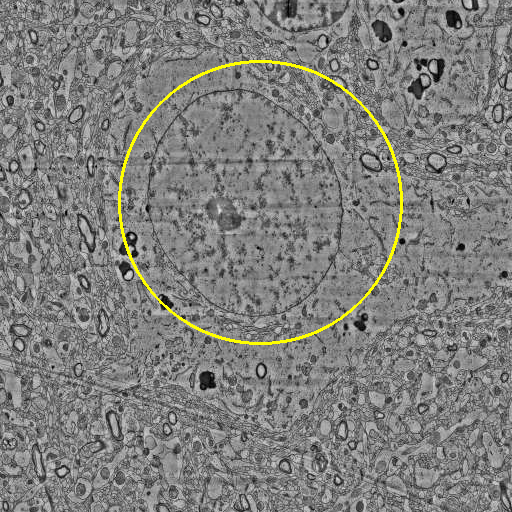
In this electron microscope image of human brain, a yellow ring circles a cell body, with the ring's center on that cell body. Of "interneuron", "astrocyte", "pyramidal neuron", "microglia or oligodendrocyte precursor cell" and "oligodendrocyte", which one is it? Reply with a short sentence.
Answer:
It is a pyramidal neuron at the center of the ring.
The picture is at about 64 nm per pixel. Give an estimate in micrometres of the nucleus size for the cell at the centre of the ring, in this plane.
In this plane, the nucleus of the cell at the centre of the ring measures about 15 by 12 micrometres.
